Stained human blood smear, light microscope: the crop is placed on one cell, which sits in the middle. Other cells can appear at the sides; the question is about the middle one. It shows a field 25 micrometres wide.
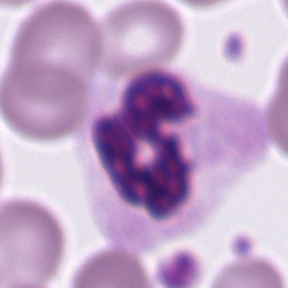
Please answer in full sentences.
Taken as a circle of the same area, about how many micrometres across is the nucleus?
The nucleus is about 9 micrometres across.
